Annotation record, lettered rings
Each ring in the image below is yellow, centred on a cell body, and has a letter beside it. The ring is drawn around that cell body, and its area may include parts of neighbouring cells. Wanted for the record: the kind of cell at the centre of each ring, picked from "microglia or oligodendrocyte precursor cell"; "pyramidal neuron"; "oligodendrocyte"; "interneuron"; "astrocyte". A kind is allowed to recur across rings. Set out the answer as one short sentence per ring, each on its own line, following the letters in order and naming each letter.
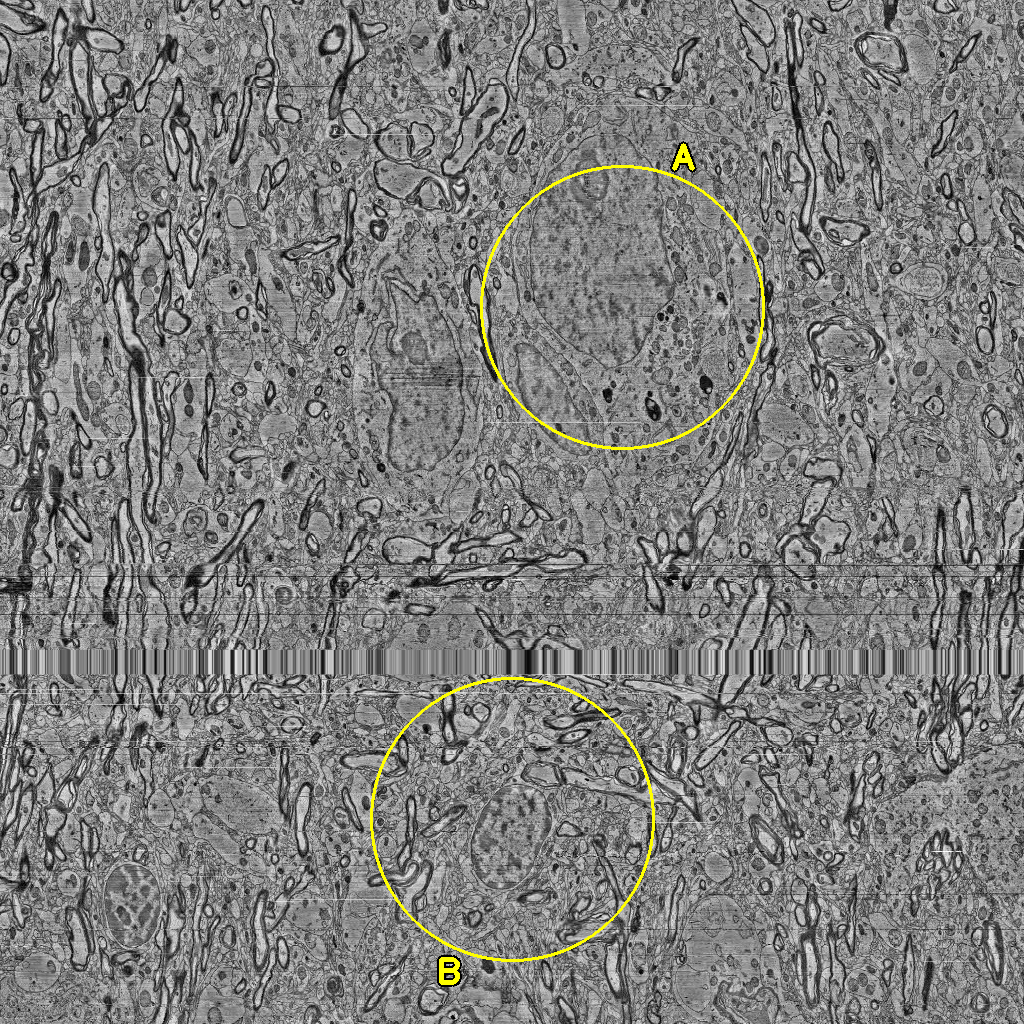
Ring A was drawn on an interneuron.
Ring B was drawn on a microglial cell or oligodendrocyte precursor cell.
